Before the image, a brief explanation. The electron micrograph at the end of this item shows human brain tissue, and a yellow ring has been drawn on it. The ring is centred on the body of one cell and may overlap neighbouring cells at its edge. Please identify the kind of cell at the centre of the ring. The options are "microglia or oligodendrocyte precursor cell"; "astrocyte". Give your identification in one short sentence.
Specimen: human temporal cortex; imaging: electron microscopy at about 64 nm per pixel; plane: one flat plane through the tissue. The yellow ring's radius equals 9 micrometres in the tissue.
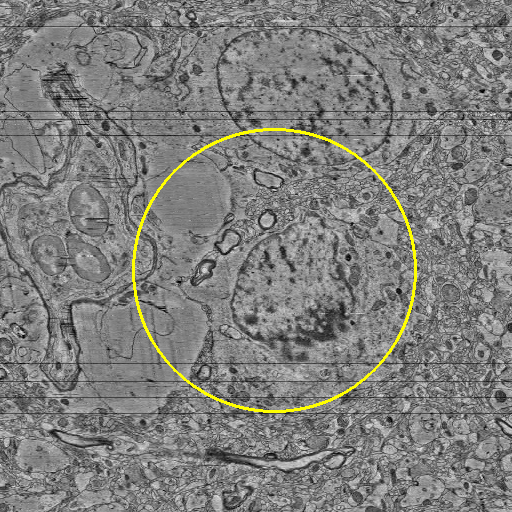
The ring has been placed around a microglial cell or oligodendrocyte precursor cell.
